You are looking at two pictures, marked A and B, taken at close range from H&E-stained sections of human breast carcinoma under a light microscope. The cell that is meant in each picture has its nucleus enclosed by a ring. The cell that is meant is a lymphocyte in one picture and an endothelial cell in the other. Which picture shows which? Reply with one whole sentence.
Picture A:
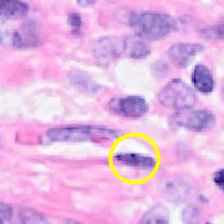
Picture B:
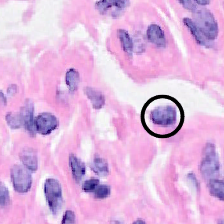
Picture A shows an endothelial cell and picture B shows a lymphocyte.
